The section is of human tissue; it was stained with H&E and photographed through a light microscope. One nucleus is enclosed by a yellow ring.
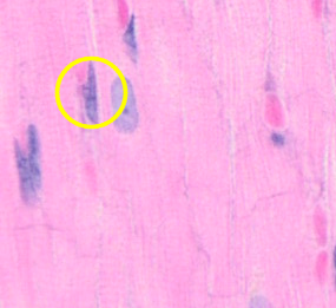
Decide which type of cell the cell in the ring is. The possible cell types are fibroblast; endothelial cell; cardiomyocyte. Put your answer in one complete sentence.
Placed in its cell category, the cell in the ring is an endothelial cell.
